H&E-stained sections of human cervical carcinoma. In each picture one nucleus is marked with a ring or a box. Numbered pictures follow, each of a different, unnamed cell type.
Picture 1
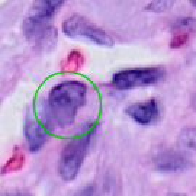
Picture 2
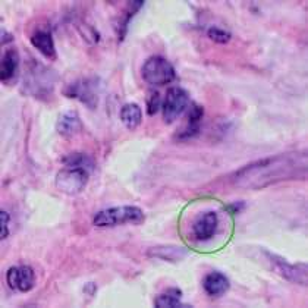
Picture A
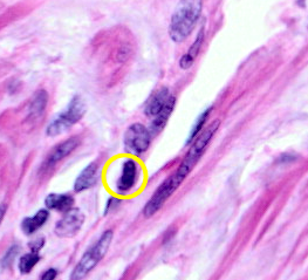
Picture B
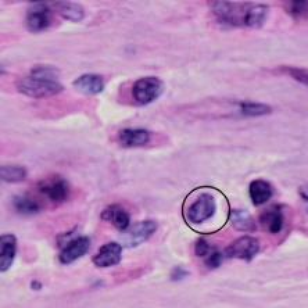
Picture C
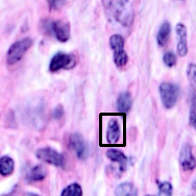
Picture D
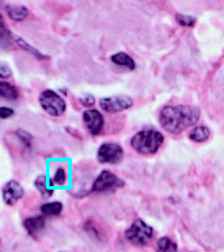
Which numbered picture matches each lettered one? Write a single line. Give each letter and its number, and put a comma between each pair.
A 2, B 2, C 2, D 2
